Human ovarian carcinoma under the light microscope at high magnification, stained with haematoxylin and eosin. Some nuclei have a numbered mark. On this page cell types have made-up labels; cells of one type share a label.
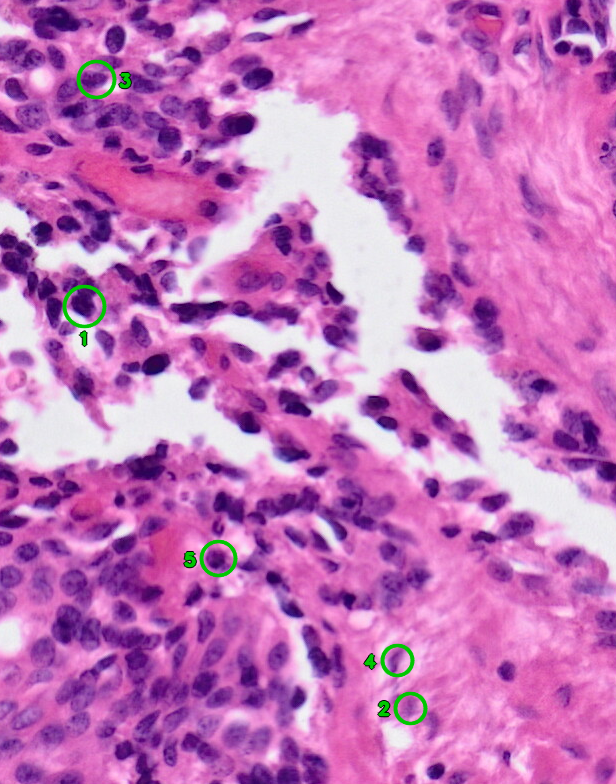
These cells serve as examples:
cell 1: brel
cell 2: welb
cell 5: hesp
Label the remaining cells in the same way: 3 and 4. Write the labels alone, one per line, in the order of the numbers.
brel
welb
